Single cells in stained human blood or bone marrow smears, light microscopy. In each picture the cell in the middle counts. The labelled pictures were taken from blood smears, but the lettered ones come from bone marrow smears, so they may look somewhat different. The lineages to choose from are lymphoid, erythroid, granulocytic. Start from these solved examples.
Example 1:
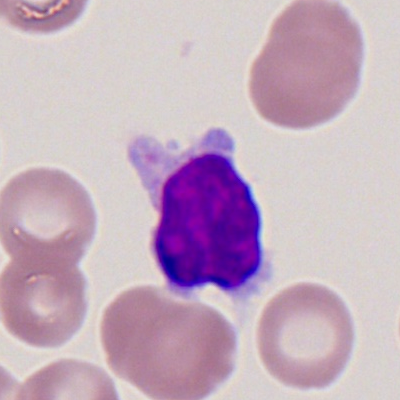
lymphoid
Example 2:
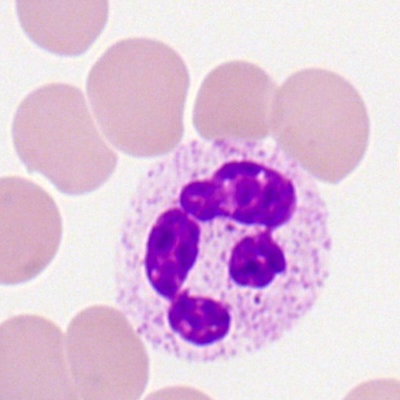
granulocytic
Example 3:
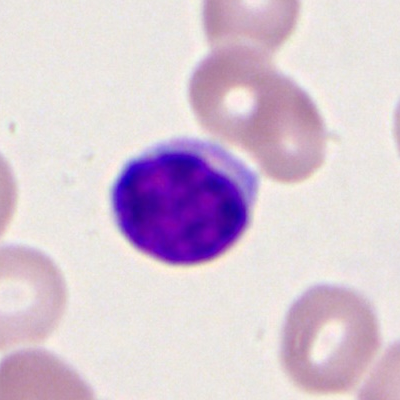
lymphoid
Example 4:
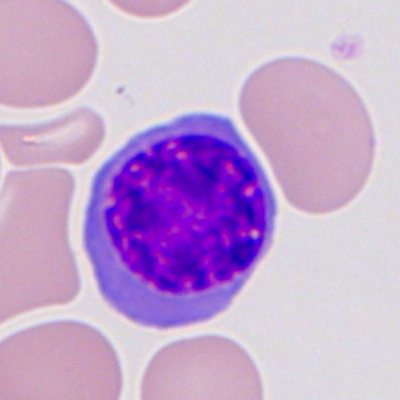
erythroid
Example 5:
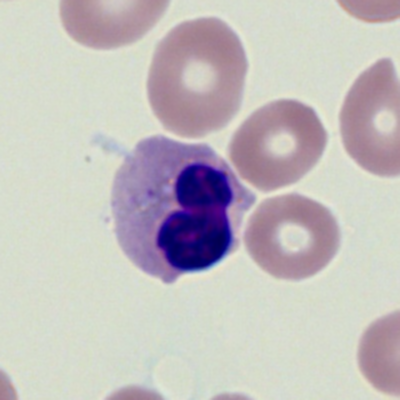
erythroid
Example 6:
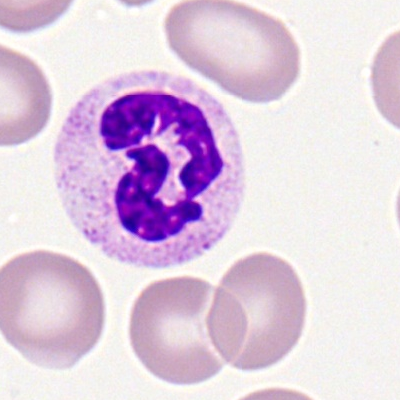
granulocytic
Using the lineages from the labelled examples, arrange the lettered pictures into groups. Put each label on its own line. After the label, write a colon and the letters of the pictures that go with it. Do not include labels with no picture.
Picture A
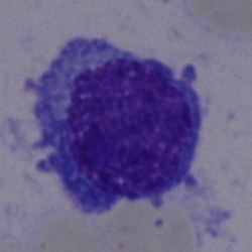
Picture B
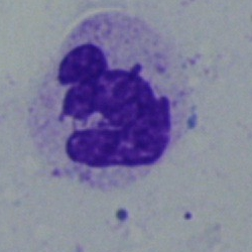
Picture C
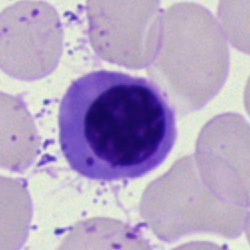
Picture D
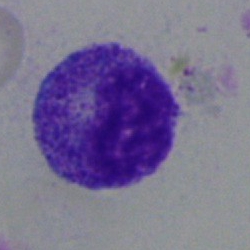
lymphoid: A
erythroid: C
granulocytic: B, D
